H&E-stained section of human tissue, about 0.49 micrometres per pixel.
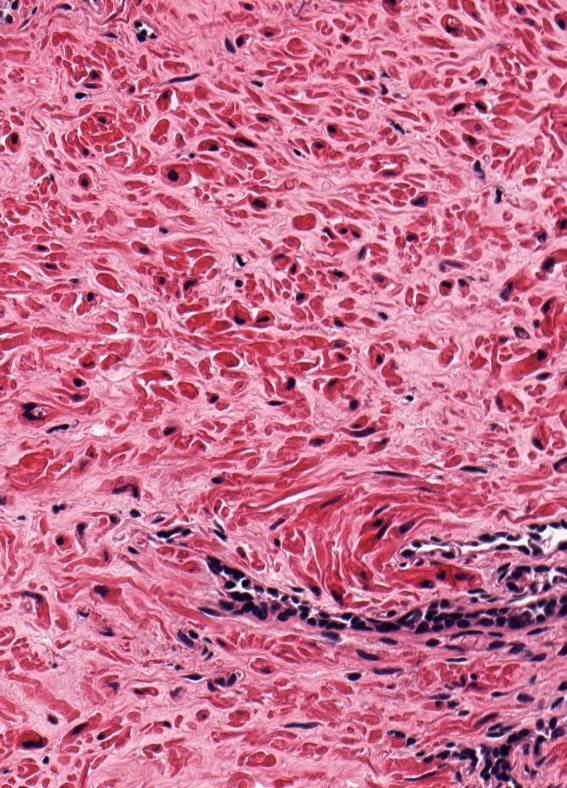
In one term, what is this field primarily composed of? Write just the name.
fibromuscular stroma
